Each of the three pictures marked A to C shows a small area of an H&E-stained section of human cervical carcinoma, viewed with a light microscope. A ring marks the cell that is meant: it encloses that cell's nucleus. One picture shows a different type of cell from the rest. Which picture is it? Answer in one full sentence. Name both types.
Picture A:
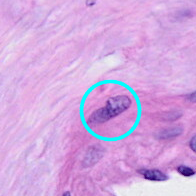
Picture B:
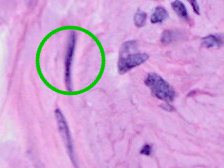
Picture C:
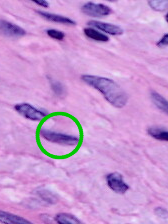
The different one is picture A; it shows a smooth muscle cell, whereas all the others show fibroblasts.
